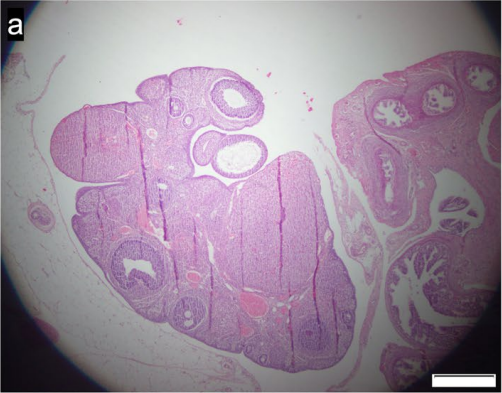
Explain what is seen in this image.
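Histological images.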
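This is a section of ovary with its surrounding ducts at low magnification. The ovary holds several rounded follicles with a central clear cavity ringed by layers of purple-staining cells, lying among larger, paler pink, solid rounded masses of tissue. To the right lie coiled tubular structures cut in cross section, with folded lining projecting into their lumens.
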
